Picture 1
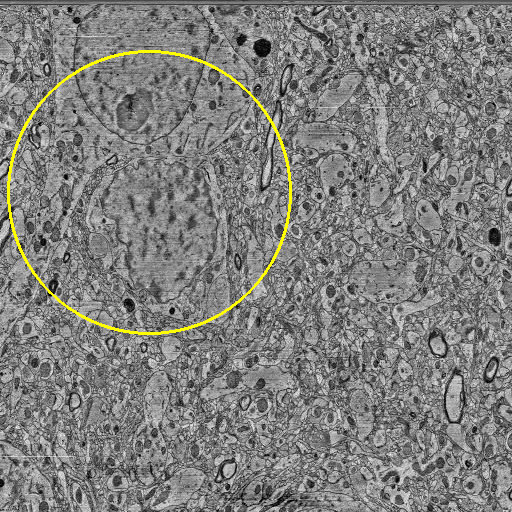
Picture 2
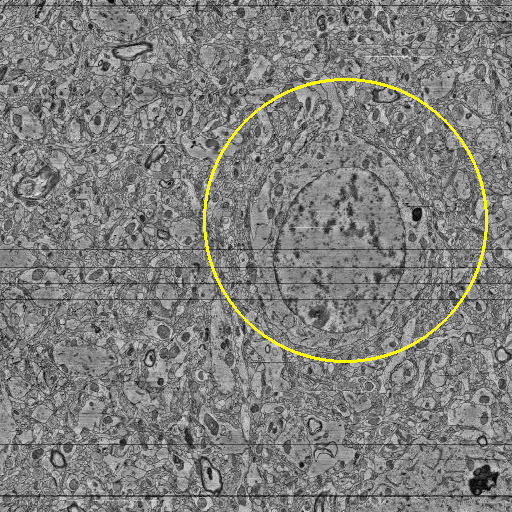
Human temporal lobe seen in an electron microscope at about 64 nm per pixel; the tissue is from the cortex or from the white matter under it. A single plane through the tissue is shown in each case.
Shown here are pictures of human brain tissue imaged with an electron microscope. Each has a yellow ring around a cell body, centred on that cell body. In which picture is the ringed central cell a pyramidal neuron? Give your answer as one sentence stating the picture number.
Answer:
My answer is picture 2, where the ringed cell at the centre is the one sought.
